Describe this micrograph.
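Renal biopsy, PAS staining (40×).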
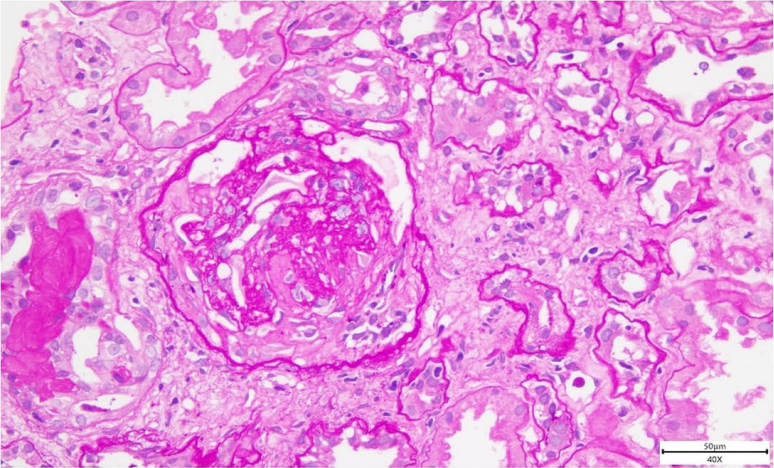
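This is kidney cortex with a glomerulus at the centre, surrounded by tubules and interstitium. The glomerular capillary tuft is shrunken and collapsed. The tubules around it have magenta-outlined basement membranes and lie in a widened, cellular interstitium.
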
